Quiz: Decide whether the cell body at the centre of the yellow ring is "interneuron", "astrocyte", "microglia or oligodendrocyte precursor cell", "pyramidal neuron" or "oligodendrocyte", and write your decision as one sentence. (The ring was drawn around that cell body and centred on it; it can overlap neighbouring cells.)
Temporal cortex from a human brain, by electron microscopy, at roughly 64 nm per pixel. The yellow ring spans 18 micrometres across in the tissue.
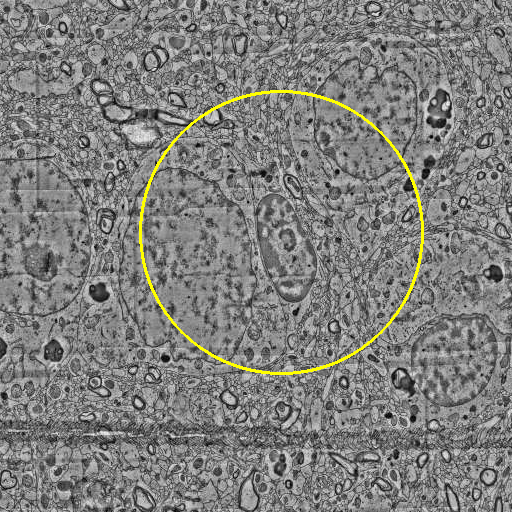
The cell the ring is centred on is a microglial cell or oligodendrocyte precursor cell.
